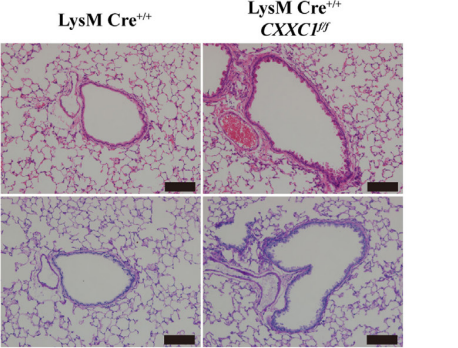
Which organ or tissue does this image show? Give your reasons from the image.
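Large round airway lumens lined by a thin epithelial layer. Surrounding spongy network of thin-walled air spaces. A blood vessel filled with red cells lies beside an airway. The answer: lung.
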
